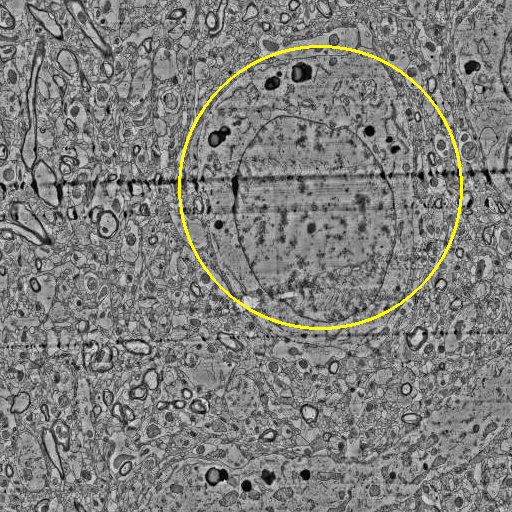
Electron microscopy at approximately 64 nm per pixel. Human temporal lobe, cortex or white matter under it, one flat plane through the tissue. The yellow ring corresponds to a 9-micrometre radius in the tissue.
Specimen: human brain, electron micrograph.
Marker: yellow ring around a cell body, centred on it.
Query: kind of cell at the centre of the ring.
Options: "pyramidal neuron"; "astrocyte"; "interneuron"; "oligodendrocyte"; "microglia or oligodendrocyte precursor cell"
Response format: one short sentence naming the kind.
This cell body belongs to a pyramidal neuron.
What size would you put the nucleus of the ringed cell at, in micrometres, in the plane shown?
In this plane the nucleus is about 14 micrometres by 10.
